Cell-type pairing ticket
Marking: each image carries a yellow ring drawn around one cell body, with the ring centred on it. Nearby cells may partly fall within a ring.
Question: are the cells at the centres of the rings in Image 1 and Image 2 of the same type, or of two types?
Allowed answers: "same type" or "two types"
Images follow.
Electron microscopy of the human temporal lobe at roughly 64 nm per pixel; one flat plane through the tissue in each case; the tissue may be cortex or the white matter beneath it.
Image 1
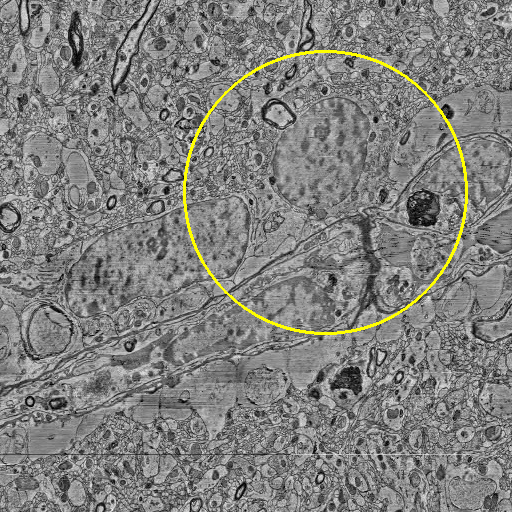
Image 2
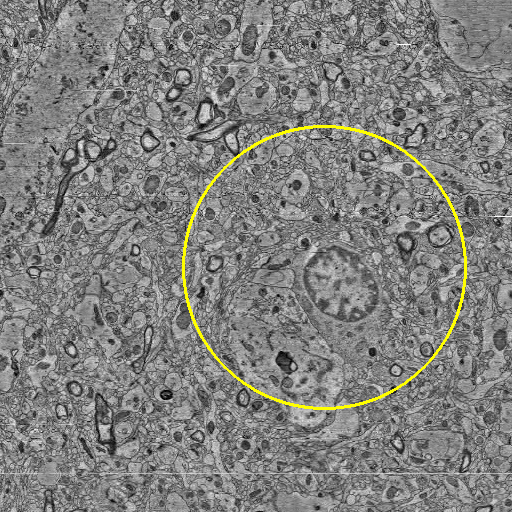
same type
